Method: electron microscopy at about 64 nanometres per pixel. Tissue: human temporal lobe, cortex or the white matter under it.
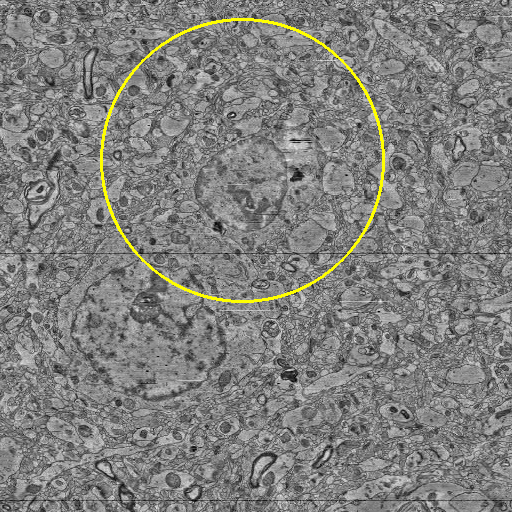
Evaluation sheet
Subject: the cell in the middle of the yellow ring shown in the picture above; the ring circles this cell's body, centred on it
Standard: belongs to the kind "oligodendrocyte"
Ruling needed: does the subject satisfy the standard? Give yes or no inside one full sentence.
Yes, the cell in the middle of the ring in the picture above belongs to the stated kind.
